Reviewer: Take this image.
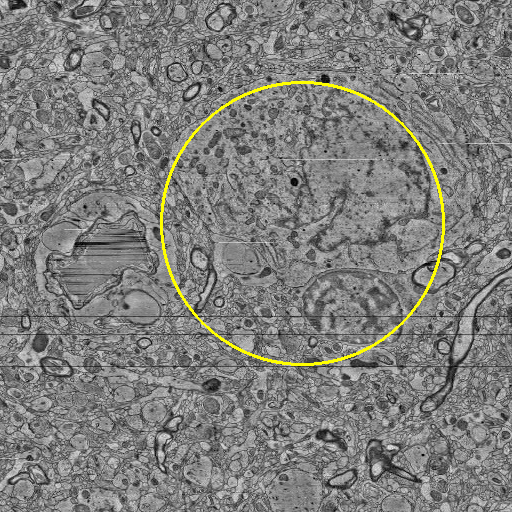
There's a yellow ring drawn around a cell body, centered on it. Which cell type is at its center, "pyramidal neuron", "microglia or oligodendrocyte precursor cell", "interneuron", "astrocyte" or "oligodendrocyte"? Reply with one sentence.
At the center of the yellow ring is an interneuron.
